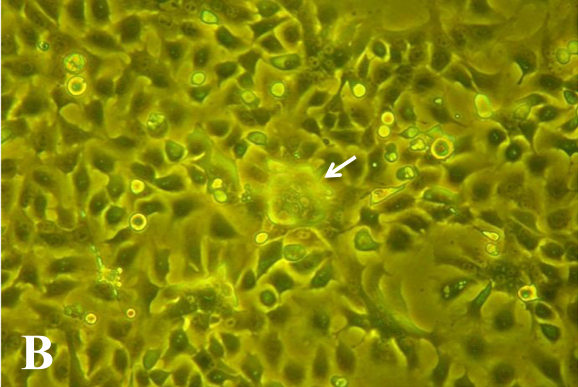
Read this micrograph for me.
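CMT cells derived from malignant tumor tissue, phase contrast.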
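The cells are small and polygonal to rounded, packed closely against each other, with dark, compact cell bodies and short cytoplasmic extensions. Scattered among them are many small, bright, refractile spheres, which are rounded cells lifted from the surface. Near the centre a raised, bright cluster of cells is stacked above the surrounding layer, a pile up where the cells no longer lie in one sheet. The rest of the culture is crowded but largely single-layered.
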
